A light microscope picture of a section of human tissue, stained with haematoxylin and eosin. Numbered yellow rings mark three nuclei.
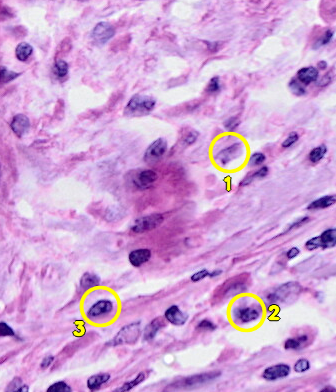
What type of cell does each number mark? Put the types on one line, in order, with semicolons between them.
fibroblast; lymphocyte; lymphocyte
